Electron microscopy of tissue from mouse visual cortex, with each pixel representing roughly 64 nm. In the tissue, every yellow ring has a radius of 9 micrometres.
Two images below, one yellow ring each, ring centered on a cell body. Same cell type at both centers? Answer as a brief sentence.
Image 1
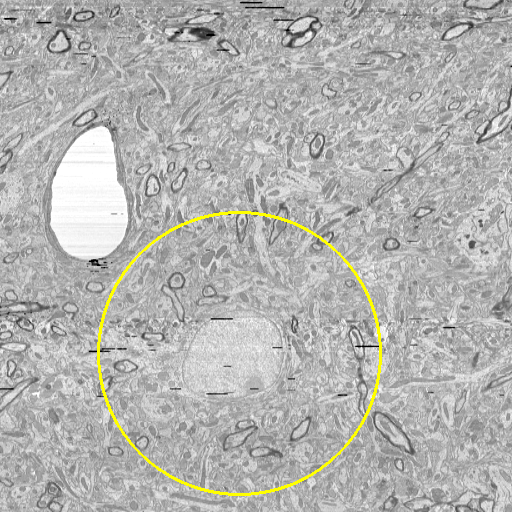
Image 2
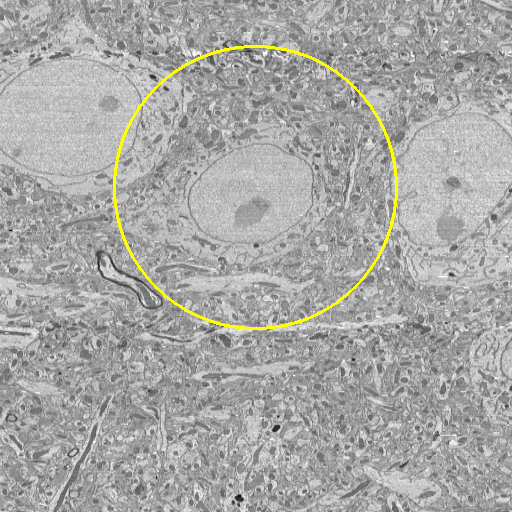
No, the cells are of two separate types.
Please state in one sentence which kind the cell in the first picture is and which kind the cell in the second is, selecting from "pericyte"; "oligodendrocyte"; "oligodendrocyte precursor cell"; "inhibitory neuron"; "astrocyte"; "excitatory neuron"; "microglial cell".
The first ringed cell is an astrocyte, the second ringed cell an excitatory neuron.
